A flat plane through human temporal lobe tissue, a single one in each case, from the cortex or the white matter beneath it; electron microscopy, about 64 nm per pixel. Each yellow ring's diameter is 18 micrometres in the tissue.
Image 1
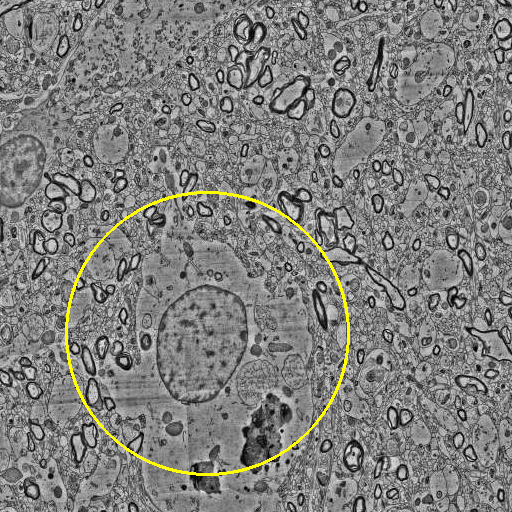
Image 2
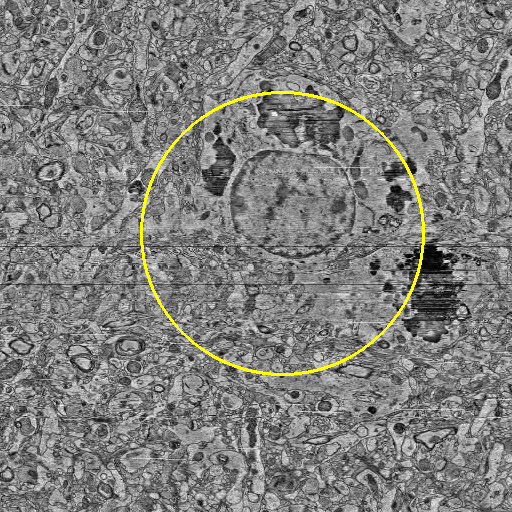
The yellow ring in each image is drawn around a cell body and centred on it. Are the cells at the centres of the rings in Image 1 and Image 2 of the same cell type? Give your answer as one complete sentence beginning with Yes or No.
Yes, both cells are of the same type.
